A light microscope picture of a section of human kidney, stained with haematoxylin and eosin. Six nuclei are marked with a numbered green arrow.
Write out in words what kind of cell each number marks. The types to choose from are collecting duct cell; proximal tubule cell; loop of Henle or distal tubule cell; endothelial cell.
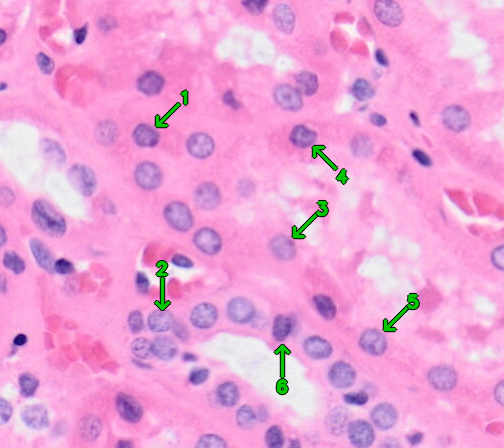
Cells 1, 3, 4 and 5 are proximal tubule cells. Cells 2 and 6 are collecting duct cells.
